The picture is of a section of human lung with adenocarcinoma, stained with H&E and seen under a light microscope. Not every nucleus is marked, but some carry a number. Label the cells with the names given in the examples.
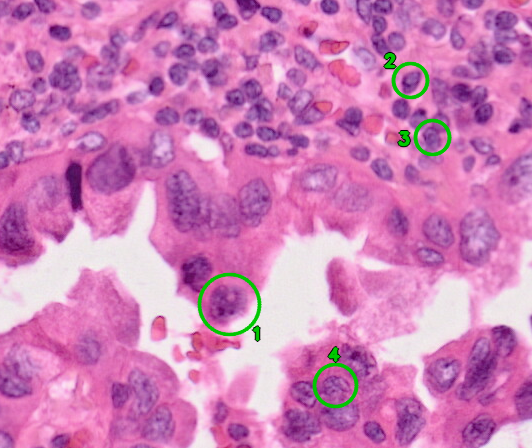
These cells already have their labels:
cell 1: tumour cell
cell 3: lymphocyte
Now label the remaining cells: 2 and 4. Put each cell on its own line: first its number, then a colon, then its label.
2: lymphocyte
4: tumour cell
